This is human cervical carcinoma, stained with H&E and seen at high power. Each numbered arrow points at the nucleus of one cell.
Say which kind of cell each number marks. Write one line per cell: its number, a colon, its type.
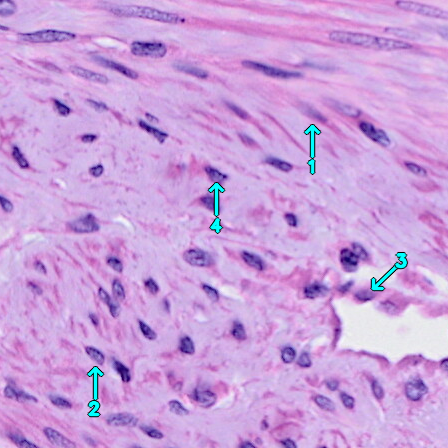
1: smooth muscle cell
2: smooth muscle cell
3: endothelial cell
4: smooth muscle cell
